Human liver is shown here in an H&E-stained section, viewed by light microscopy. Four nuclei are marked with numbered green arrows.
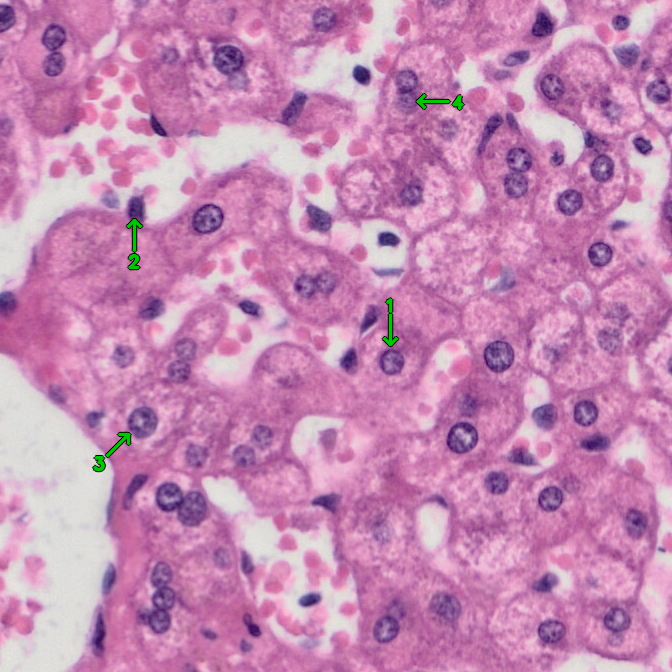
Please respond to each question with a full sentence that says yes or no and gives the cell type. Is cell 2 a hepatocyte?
No, number 2 corresponds to a Kupffer cell, not a hepatocyte.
